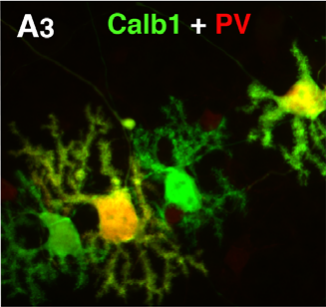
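Large rounded to pear-shaped cell bodies sit among a tangle of processes; some bodies are yellow-orange where both labels overlap, others are green only. Thin straight fibres cross the background between the cells. The arbors of neighbouring cells lie close together and partly intermingle, giving the field a crowded appearance against a dark background.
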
